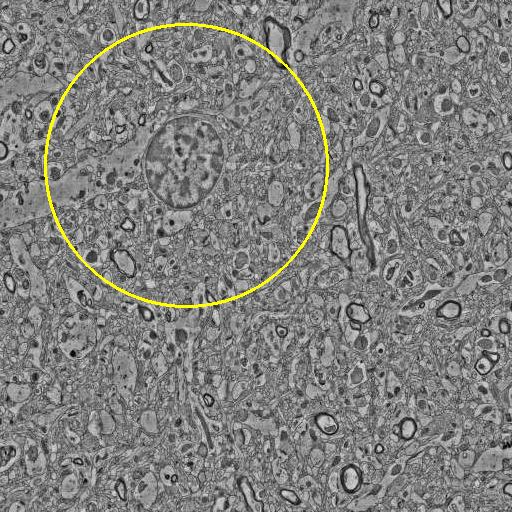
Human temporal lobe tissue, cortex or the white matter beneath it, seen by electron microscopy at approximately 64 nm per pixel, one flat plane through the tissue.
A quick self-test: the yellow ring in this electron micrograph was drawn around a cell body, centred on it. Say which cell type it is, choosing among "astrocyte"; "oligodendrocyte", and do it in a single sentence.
The yellow-ringed cell is an oligodendrocyte.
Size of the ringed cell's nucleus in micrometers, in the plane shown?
The nucleus has a long axis of about 6 micrometres and a short axis of about 5 micrometres in this plane.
